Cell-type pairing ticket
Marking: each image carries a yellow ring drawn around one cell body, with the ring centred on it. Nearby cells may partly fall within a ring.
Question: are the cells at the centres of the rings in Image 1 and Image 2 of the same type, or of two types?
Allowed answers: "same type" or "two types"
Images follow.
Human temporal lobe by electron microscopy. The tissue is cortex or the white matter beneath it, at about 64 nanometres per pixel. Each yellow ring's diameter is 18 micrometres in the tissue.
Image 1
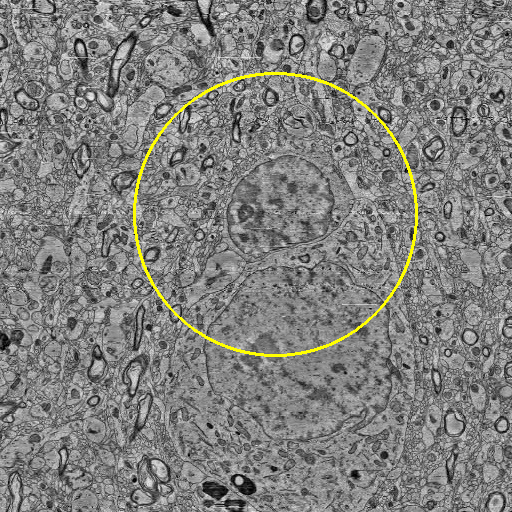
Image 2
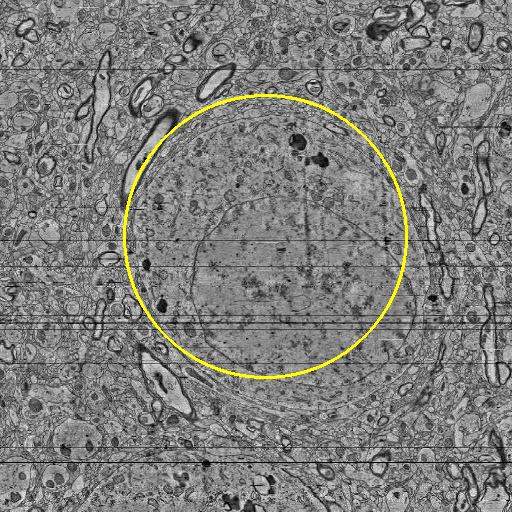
two types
